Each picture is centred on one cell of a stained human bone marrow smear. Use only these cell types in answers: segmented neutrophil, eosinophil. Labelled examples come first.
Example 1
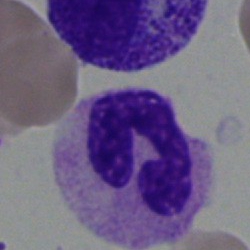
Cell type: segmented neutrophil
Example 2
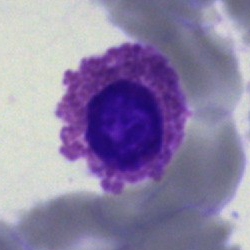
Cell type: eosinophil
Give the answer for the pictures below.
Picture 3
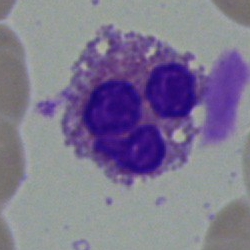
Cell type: eosinophil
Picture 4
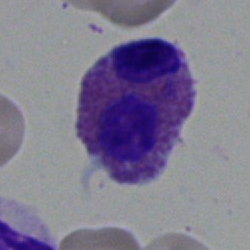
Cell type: eosinophil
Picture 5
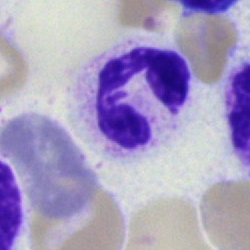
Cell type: segmented neutrophil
